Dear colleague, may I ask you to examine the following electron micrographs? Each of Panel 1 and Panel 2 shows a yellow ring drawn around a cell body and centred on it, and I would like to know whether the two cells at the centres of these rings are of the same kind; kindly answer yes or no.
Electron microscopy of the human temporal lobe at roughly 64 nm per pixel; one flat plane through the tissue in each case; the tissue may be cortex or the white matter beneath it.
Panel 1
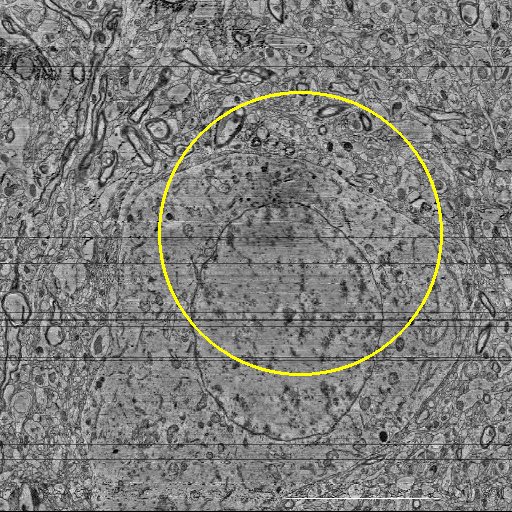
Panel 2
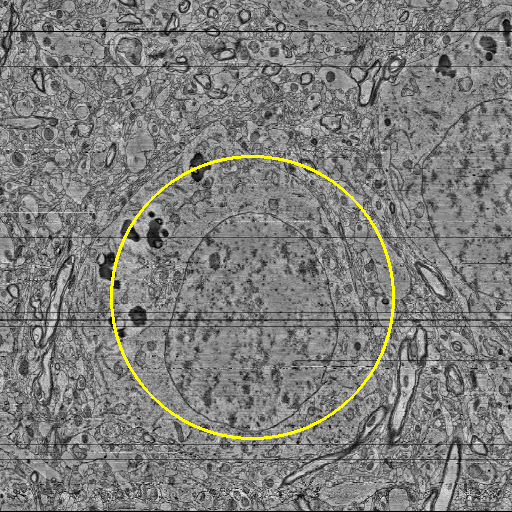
yes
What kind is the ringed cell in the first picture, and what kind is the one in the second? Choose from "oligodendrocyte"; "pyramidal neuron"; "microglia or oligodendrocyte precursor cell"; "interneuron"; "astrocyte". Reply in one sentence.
In each picture the ringed cell is a pyramidal neuron.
